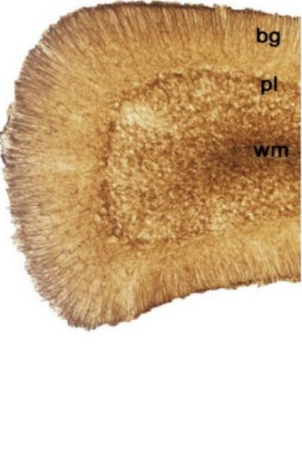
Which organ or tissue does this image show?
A: cerebellum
